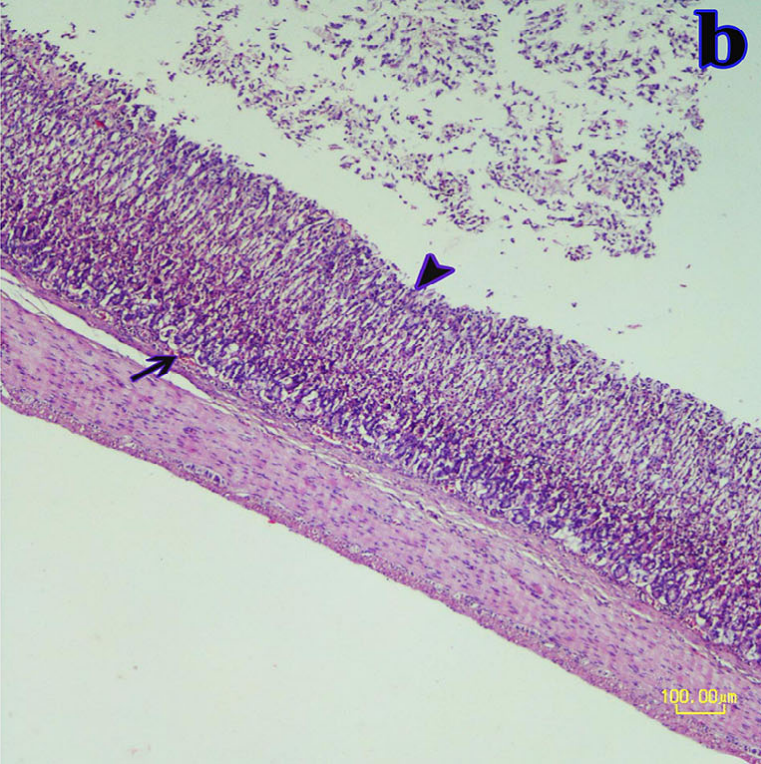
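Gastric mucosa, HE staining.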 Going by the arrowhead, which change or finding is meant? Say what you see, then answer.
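Small erosion. The arrowhead sits at the luminal surface of the mucosa. The surface there is slightly frayed while the glandular layer beneath stays intact.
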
